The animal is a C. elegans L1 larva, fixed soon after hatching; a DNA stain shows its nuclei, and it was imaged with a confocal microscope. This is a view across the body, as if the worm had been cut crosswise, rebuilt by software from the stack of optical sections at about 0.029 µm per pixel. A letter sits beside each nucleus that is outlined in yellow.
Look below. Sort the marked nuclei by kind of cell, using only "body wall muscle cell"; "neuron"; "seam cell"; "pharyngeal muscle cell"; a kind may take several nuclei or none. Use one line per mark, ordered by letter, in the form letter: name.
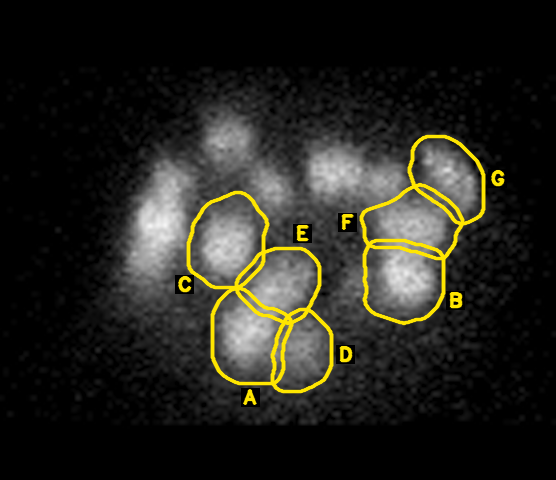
A: neuron
B: neuron
C: neuron
D: seam cell
E: pharyngeal muscle cell
F: pharyngeal muscle cell
G: body wall muscle cell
